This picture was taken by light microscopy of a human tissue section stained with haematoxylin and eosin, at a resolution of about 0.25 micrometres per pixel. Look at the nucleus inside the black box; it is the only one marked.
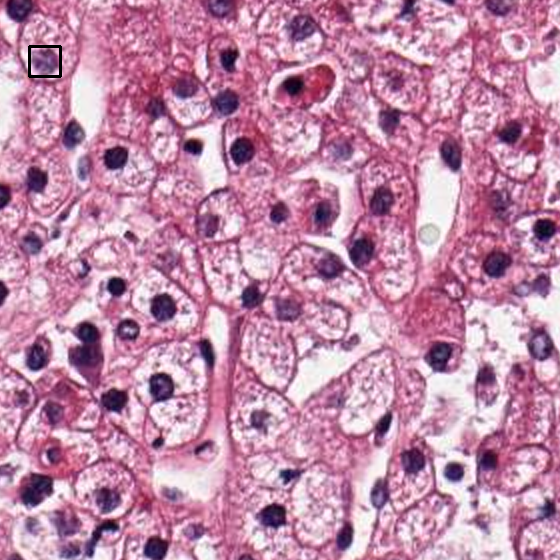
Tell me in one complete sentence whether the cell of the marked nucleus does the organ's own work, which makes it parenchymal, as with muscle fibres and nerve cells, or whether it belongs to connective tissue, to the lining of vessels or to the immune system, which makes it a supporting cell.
It is the nucleus of an adrenal cortical cell, a parenchymal cell, that is marked.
